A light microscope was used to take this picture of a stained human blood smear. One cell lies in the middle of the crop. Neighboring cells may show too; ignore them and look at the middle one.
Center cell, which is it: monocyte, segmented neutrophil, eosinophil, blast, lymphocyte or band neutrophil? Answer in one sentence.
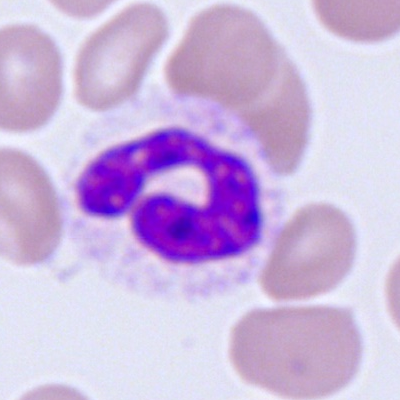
Positioned in the middle of the crop is a band neutrophil.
